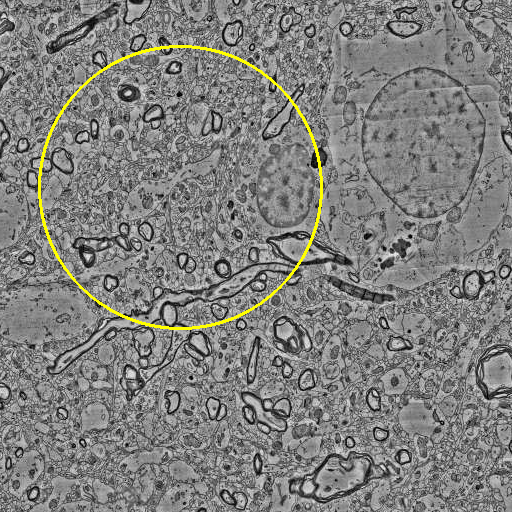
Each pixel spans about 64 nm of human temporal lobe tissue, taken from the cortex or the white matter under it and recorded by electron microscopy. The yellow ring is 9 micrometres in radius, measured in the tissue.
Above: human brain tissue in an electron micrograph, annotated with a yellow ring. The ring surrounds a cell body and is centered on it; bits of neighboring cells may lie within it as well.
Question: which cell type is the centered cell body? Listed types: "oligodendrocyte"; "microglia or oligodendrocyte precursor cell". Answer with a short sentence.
The centered cell body is an oligodendrocyte.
